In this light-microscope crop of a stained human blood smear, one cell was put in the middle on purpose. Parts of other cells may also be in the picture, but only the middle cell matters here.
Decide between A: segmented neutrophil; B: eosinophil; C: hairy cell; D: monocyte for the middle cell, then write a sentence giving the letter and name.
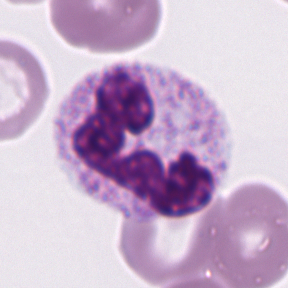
Option A is correct here, and the cell in the middle is a segmented neutrophil.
